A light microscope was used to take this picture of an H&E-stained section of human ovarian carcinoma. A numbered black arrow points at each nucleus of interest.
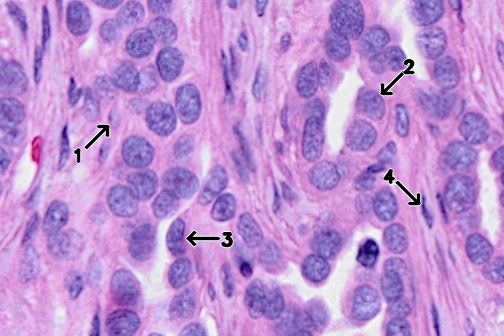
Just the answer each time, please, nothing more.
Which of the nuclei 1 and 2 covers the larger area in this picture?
2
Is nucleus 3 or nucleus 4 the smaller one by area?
4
